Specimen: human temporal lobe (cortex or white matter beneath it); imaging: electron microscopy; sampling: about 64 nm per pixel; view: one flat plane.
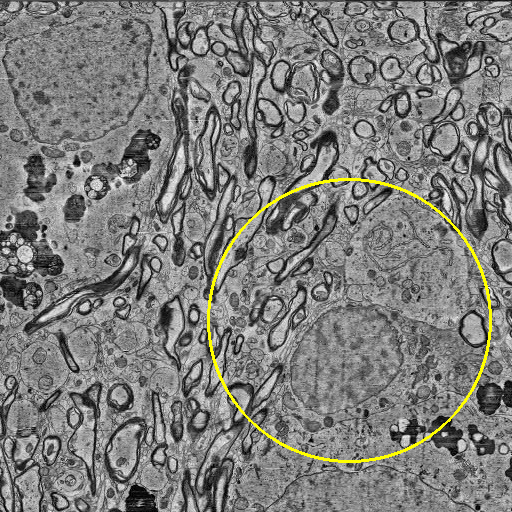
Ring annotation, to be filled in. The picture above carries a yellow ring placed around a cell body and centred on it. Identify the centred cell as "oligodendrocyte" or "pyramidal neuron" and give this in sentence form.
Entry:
The cell in the middle of the ring is an oligodendrocyte.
